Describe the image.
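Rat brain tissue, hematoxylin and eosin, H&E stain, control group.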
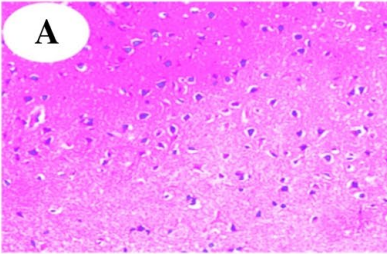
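Small cell bodies with purple nuclei are scattered evenly through a pink, finely textured neuropil. A few small vessels appear as narrow clear profiles in the field.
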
